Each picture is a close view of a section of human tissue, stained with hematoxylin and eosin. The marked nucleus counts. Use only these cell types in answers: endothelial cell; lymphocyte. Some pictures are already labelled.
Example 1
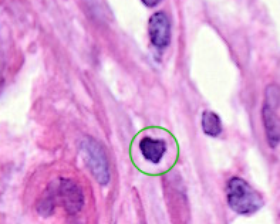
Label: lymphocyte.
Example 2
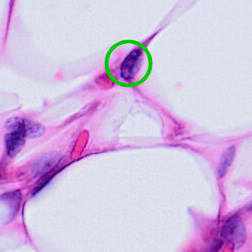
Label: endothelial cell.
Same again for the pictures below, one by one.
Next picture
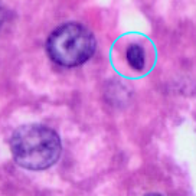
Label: lymphocyte.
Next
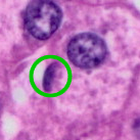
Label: endothelial cell.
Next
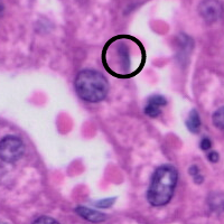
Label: endothelial cell.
